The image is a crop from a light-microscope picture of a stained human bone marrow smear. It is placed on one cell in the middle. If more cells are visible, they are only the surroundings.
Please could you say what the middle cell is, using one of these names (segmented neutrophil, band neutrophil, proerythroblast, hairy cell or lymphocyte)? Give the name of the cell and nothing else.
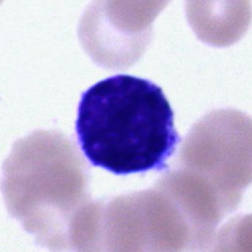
lymphocyte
